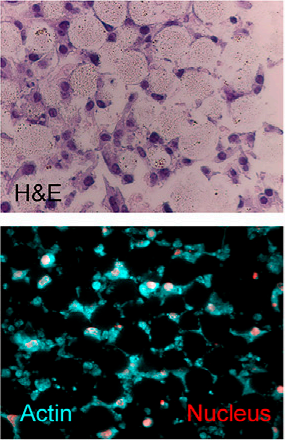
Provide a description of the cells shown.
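In the upper image, many large round pale pink profiles with fine dark speckles are packed closely together, and small purple cells with dark round nuclei sit in the spaces between them. Some of these cells stretch out thin extensions along the edges of the round profiles. In the lower image, cyan-stained cell bodies and branching strands form a connected meshwork, and their red-to-white nuclei are scattered through it. The meshwork surrounds rounded dark empty areas of similar size.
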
